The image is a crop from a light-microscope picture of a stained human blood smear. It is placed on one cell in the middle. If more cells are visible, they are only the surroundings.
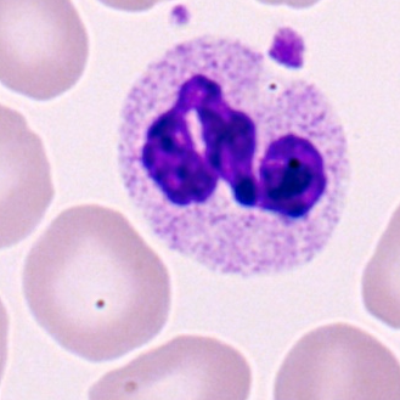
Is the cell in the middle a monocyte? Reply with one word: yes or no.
no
